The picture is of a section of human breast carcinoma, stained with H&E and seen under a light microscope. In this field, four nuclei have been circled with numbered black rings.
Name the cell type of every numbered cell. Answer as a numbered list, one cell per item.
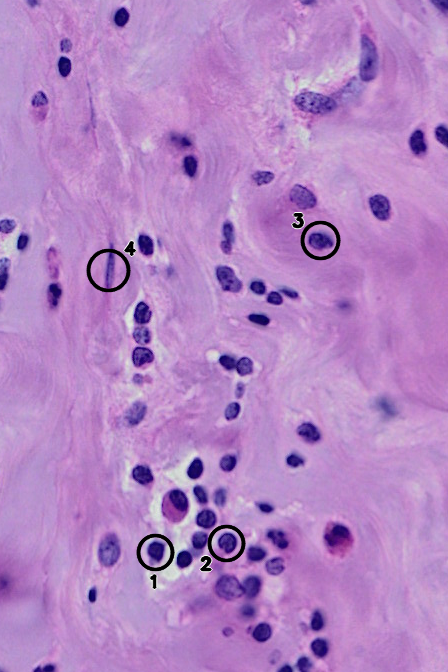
1. lymphocyte
2. lymphocyte
3. lymphocyte
4. fibroblast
